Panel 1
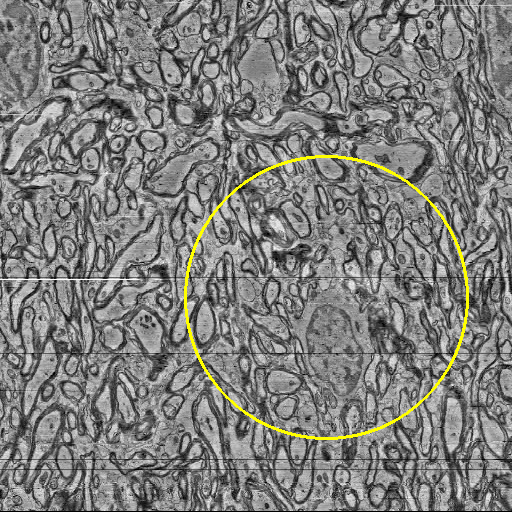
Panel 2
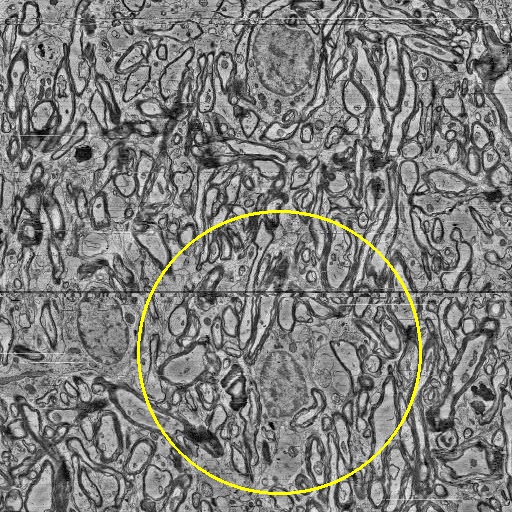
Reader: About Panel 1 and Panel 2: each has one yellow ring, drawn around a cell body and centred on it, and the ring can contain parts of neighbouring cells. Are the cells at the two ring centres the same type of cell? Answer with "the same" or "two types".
the same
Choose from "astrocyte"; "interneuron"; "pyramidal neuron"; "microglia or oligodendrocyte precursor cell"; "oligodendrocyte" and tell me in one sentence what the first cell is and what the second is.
The ring centre holds an oligodendrocyte in each of the two pictures.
